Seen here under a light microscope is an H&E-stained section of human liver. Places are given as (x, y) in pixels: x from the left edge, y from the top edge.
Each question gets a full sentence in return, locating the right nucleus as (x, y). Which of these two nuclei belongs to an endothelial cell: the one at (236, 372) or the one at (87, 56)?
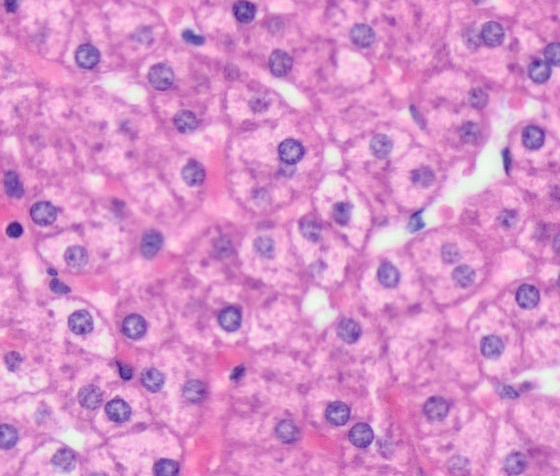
Here the nucleus at (236, 372) is the one that belongs to an endothelial cell.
